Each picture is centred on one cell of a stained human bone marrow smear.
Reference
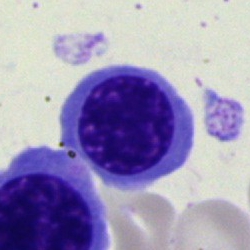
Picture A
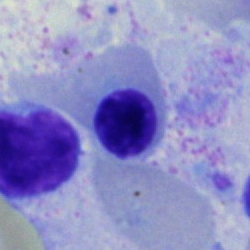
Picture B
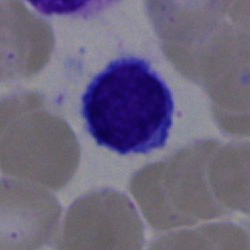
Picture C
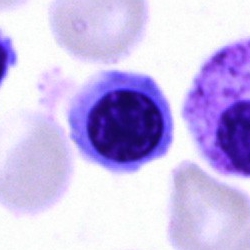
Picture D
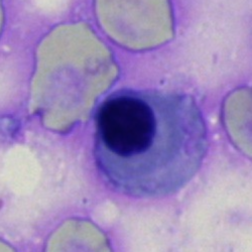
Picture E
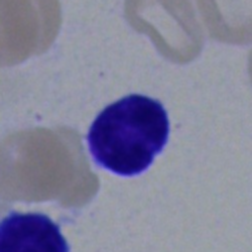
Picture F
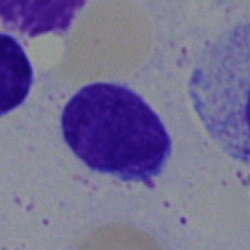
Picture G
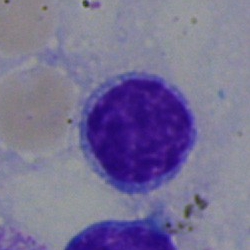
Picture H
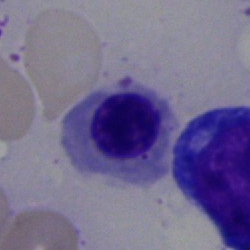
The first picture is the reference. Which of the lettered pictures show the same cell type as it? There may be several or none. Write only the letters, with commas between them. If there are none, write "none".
A, C, D, H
